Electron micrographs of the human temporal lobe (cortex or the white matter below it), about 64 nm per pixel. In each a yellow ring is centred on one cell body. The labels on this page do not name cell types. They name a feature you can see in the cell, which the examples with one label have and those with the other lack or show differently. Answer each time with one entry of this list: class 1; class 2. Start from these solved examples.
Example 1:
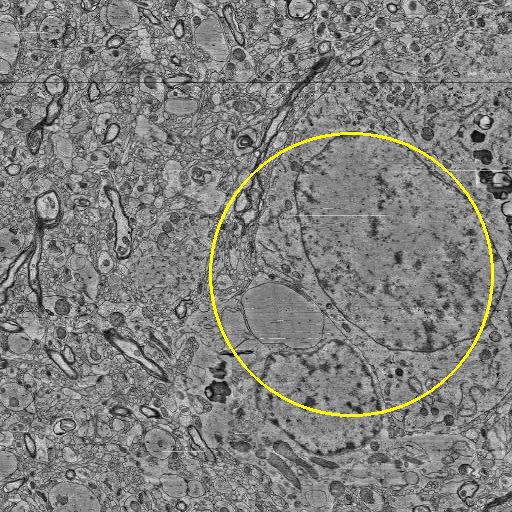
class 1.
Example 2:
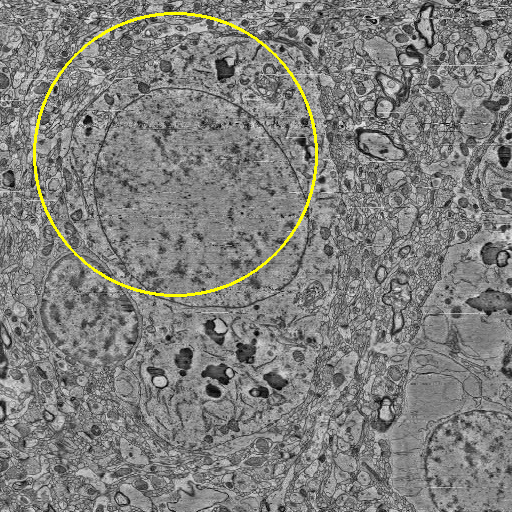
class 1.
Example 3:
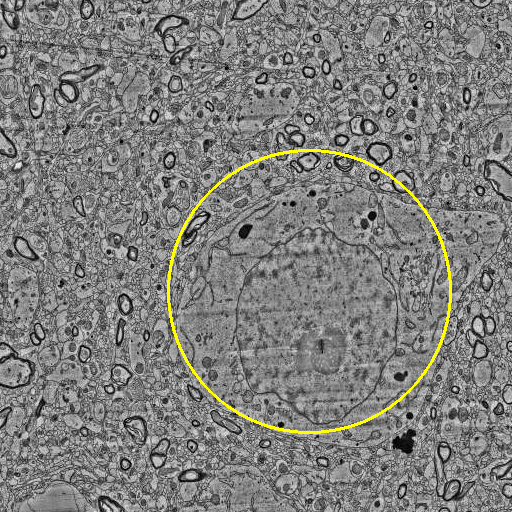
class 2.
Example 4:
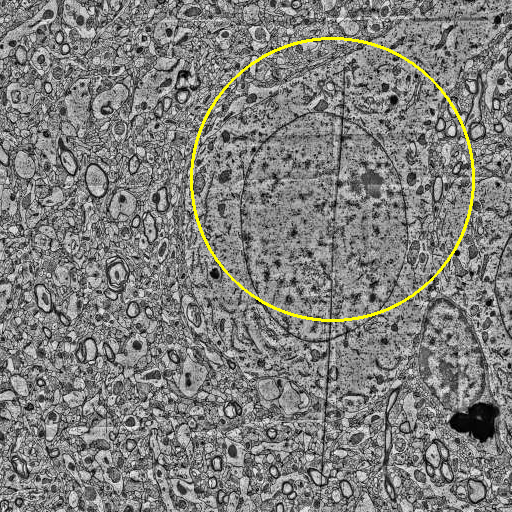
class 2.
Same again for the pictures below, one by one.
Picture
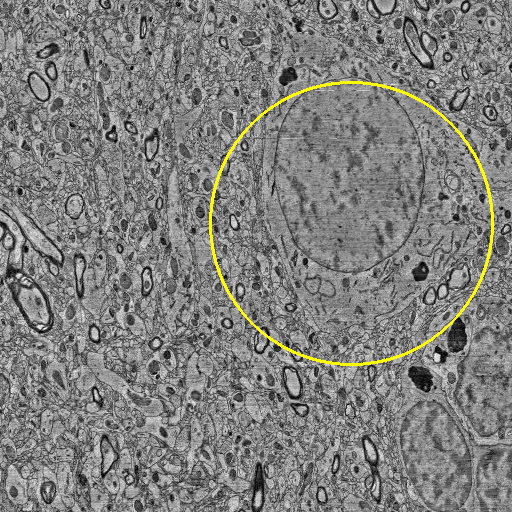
class 1.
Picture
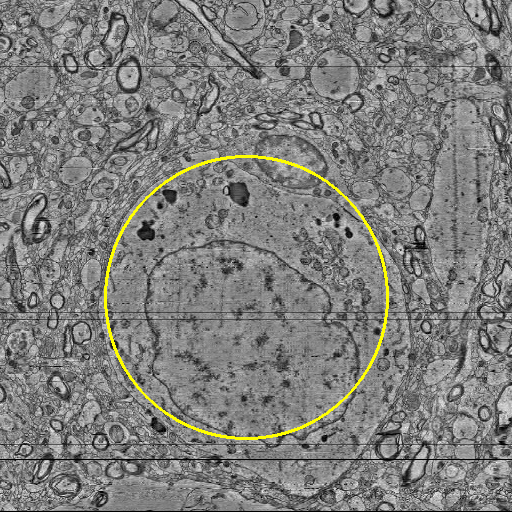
class 1.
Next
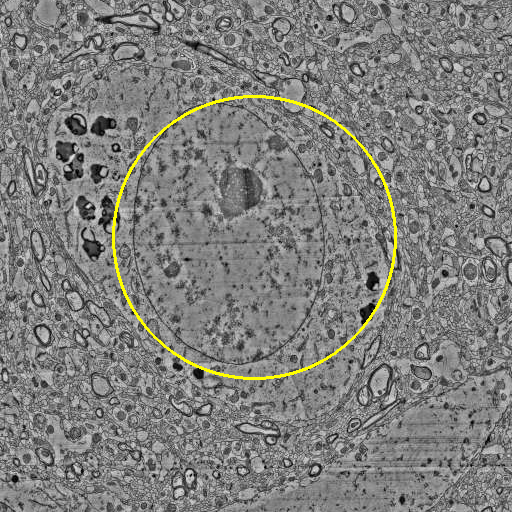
class 2.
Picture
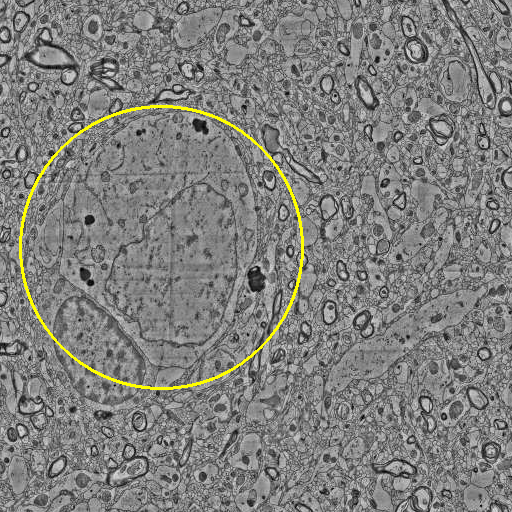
class 1.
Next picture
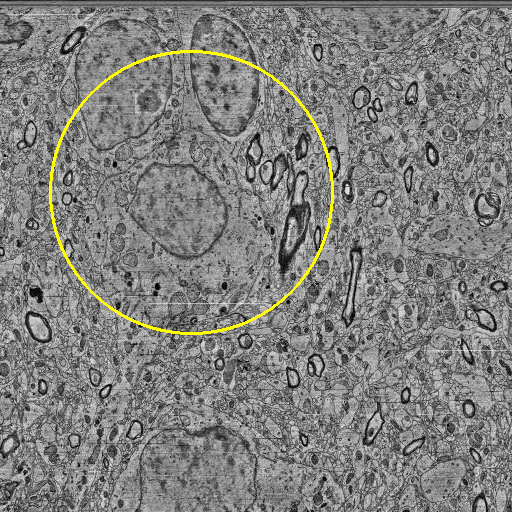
class 1.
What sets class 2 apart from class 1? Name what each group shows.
In class 2: nucleolus seen. In class 1: no nucleolus seen.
